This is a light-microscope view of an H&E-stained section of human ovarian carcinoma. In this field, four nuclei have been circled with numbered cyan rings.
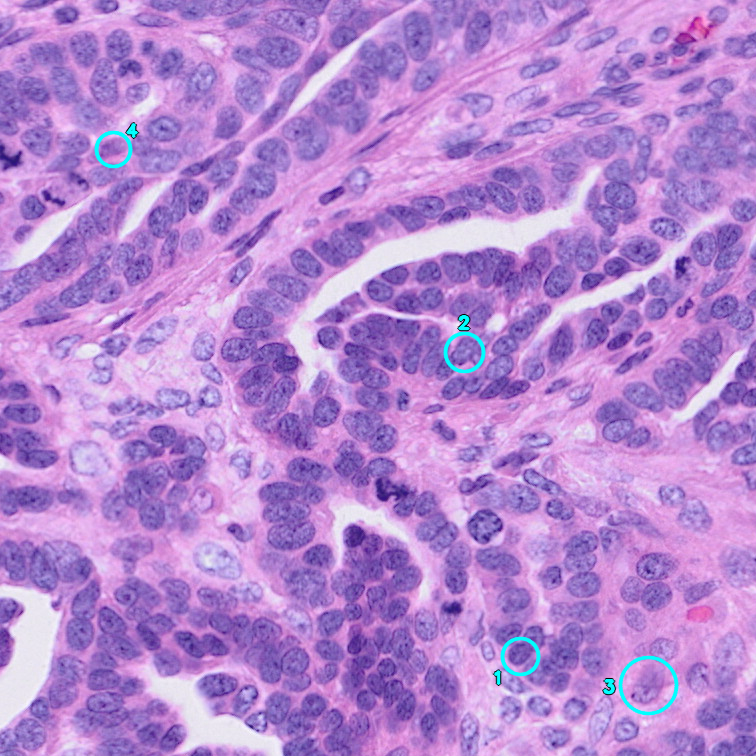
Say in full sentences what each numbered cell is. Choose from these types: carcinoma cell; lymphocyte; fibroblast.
Cell 1 is a carcinoma cell, cell 2 is a carcinoma cell, cell 3 is a fibroblast and cell 4 is a carcinoma cell.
